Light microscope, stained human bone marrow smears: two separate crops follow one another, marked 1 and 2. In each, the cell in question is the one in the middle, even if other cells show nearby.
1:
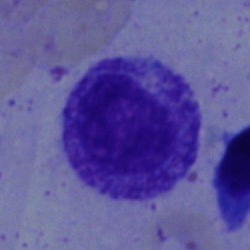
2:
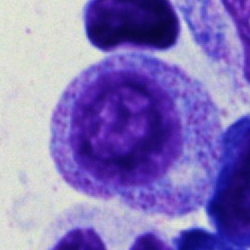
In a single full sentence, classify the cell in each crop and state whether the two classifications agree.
Yes, both crops show myelocytes, and nothing else needs adding.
